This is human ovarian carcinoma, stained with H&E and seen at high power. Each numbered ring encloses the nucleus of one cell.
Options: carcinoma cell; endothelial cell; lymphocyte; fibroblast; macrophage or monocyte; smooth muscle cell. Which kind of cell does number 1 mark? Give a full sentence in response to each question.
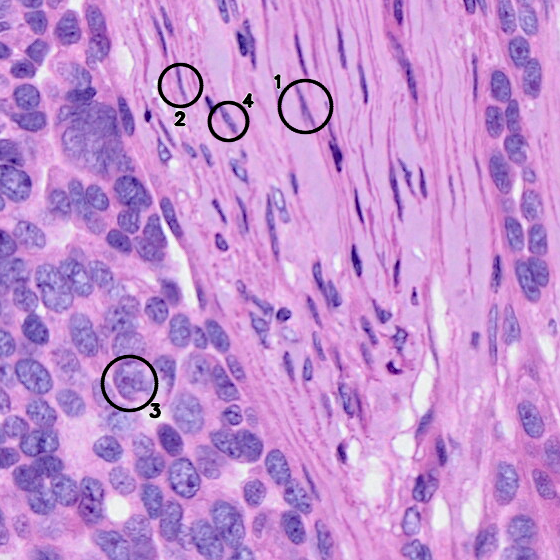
Within this field of view, the cell labelled 1 is a fibroblast.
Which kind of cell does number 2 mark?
Cell 2, as marked in the section, is a fibroblast.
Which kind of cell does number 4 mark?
What the number 4 marks in this field is a fibroblast.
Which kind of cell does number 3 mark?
In the tissue shown, cell 3 is a carcinoma cell.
